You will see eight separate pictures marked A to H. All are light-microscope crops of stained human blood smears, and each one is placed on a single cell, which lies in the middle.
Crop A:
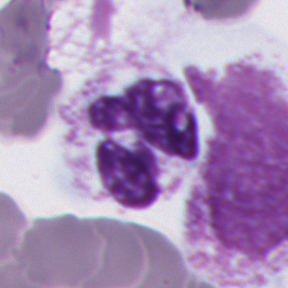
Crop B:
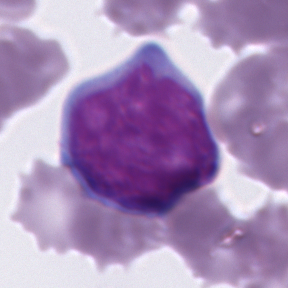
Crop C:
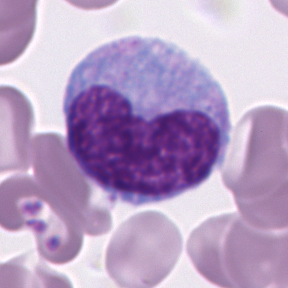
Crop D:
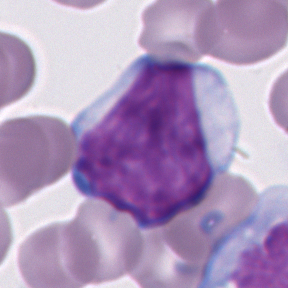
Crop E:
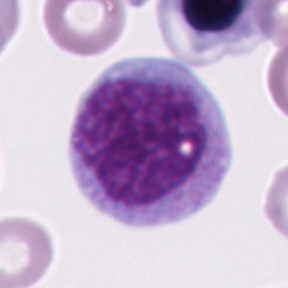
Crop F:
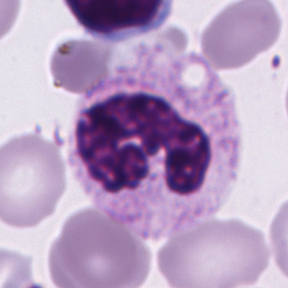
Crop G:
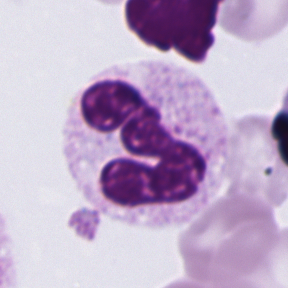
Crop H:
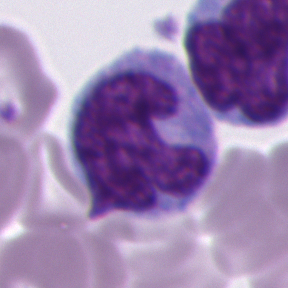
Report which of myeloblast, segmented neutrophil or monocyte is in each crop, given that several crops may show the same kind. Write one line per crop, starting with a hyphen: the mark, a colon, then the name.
- A: segmented neutrophil
- B: myeloblast
- C: monocyte
- D: myeloblast
- E: monocyte
- F: segmented neutrophil
- G: segmented neutrophil
- H: monocyte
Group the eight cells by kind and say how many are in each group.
segmented neutrophil: 3
monocyte: 3
myeloblast: 2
